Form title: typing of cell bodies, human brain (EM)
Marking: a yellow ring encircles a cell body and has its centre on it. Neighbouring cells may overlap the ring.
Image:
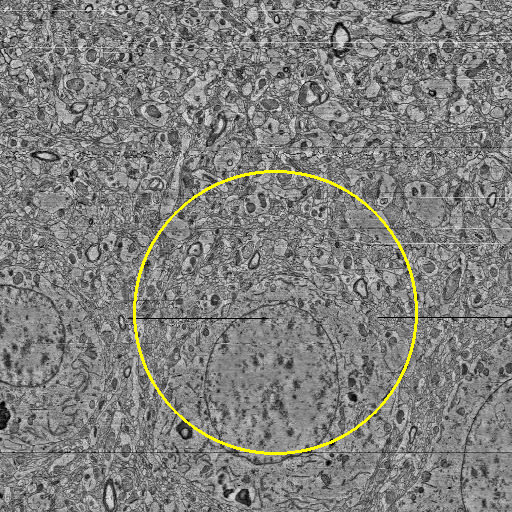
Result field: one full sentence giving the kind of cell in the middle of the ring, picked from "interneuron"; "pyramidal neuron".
In the picture, the ring is centred on a pyramidal neuron, whose cell body it encircles.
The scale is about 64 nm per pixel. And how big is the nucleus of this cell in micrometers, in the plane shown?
The nucleus comes to roughly 11 by 9 micrometres in this plane.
